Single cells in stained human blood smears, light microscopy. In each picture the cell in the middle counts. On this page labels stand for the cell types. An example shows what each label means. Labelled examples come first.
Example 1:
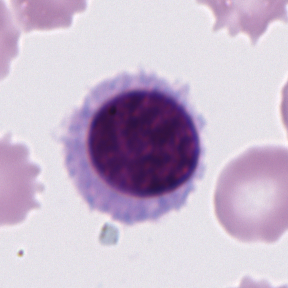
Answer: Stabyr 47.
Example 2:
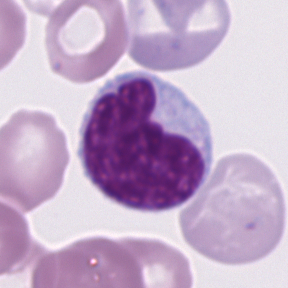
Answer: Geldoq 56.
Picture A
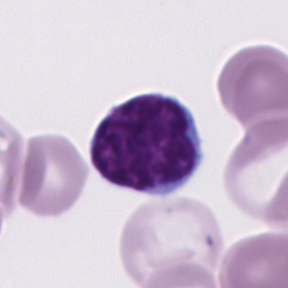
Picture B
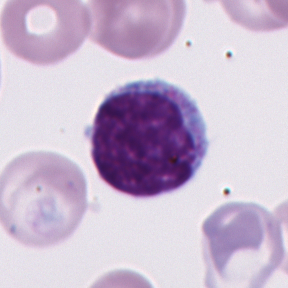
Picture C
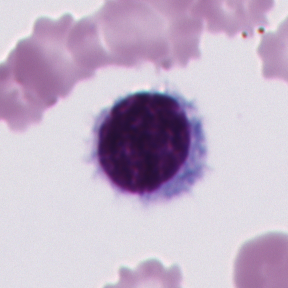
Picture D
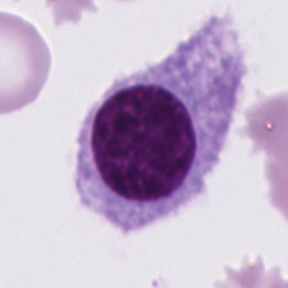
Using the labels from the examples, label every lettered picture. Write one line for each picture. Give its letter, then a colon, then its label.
A: Geldoq 56.
B: Geldoq 56.
C: Stabyr 47.
D: Stabyr 47.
